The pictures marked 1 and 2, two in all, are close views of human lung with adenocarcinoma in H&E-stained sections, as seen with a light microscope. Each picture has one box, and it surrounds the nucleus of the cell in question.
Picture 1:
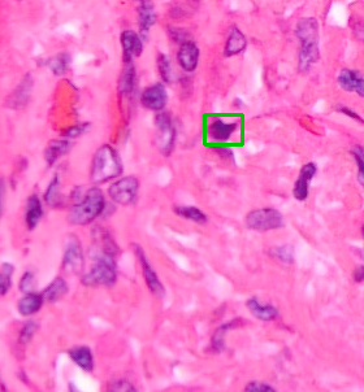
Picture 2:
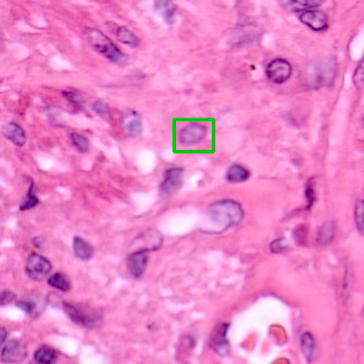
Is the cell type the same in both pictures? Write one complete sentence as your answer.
No. Picture 1 shows a plasma cell, but picture 2 shows a mast cell.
